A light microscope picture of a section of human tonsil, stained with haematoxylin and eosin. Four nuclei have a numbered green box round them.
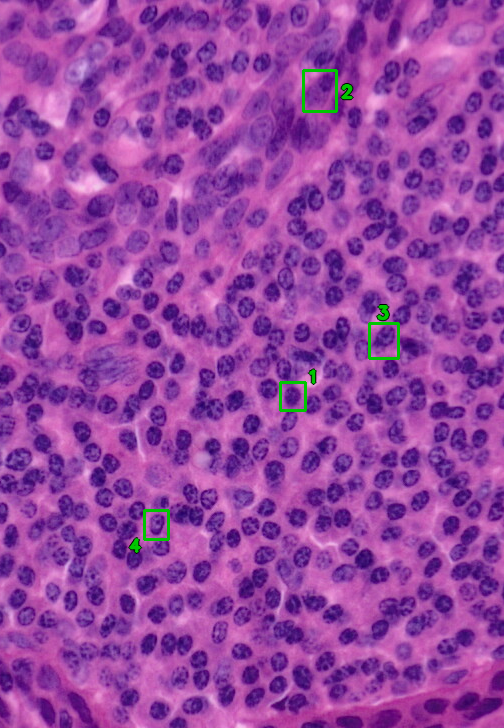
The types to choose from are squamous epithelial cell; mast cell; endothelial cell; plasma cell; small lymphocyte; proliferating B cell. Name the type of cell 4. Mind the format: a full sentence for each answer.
The nucleus with number 4 is that of a plasma cell.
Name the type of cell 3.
The label 3 in this section denotes a plasma cell.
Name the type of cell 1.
Here the cell numbered 1 is a plasma cell.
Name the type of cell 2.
Cell 2 in the field is a squamous epithelial cell.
